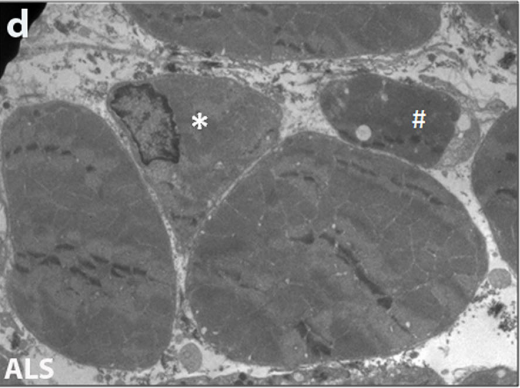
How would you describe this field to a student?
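This electron micrograph shows skeletal muscle fibres cut in cross-section. Several large fibres fill the field, their cytoplasm packed with myofibrils and crossed by darker streaks. One fibre at the upper left holds a dark, elongated nucleus at its edge and has an irregular, cornered outline. At the upper right a much smaller, rounded fibre lies apart from its neighbours. Between the fibres the interstitial space is widened and contains loose pale material and debris.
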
